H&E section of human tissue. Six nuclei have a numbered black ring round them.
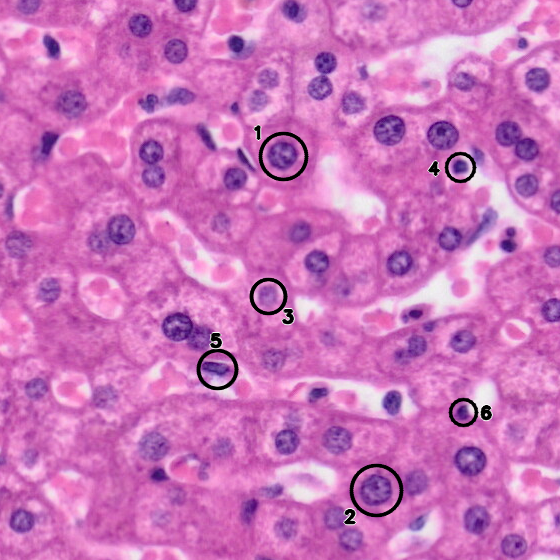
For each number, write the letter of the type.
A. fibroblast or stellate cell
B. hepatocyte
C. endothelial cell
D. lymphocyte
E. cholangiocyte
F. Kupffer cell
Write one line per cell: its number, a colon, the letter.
1: B
2: B
3: B
4: D
5: F
6: A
